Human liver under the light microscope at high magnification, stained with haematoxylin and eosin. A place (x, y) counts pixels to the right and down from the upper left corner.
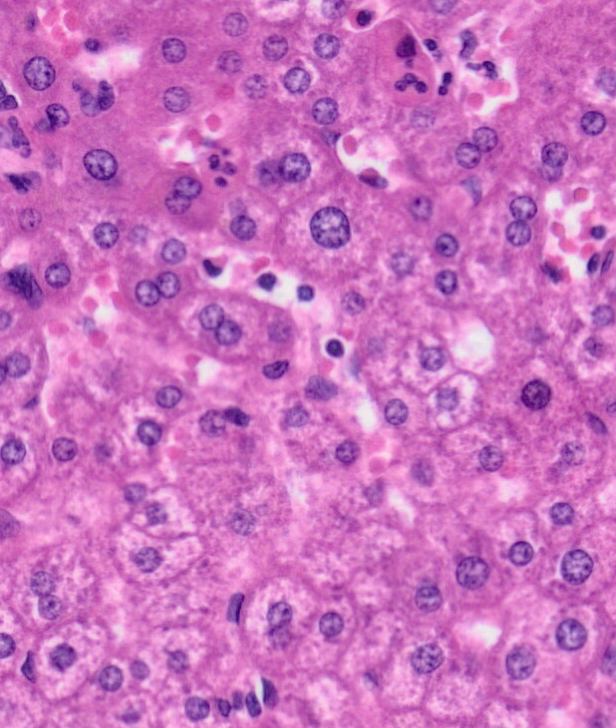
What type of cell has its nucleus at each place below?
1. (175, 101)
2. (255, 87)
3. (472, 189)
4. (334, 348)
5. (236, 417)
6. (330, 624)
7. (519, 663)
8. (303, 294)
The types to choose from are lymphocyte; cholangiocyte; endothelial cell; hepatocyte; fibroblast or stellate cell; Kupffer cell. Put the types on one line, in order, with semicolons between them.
hepatocyte; hepatocyte; endothelial cell; lymphocyte; fibroblast or stellate cell; hepatocyte; hepatocyte; lymphocyte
